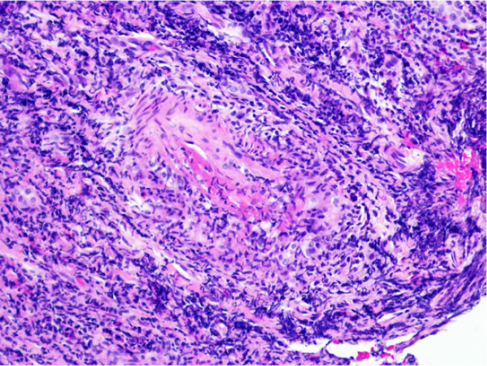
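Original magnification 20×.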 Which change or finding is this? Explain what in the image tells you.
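A vessel-like structure in the centre has a bright pink, glassy, smudged wall. Dense inflammatory cells surround and infiltrate the vessel wall in concentric layers.
Necrotizing vasculitis.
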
